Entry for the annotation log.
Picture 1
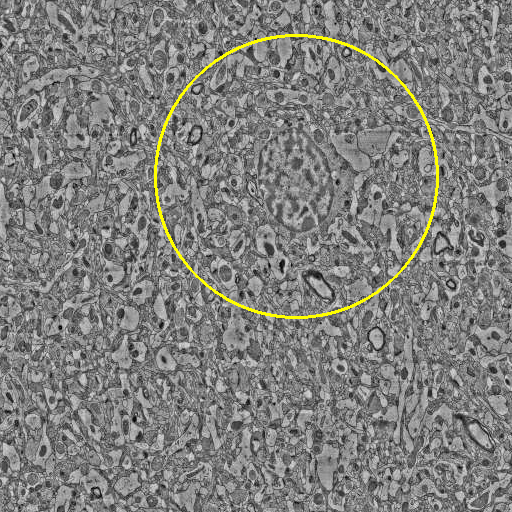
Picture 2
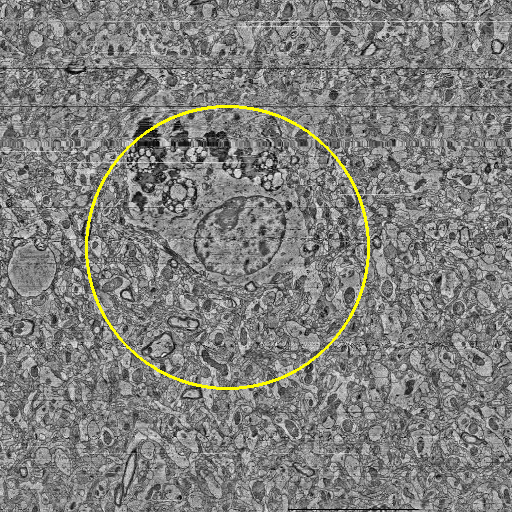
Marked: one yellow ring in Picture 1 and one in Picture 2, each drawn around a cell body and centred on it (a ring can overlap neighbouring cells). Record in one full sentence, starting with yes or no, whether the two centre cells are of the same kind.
No, the two cells are of two kinds.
